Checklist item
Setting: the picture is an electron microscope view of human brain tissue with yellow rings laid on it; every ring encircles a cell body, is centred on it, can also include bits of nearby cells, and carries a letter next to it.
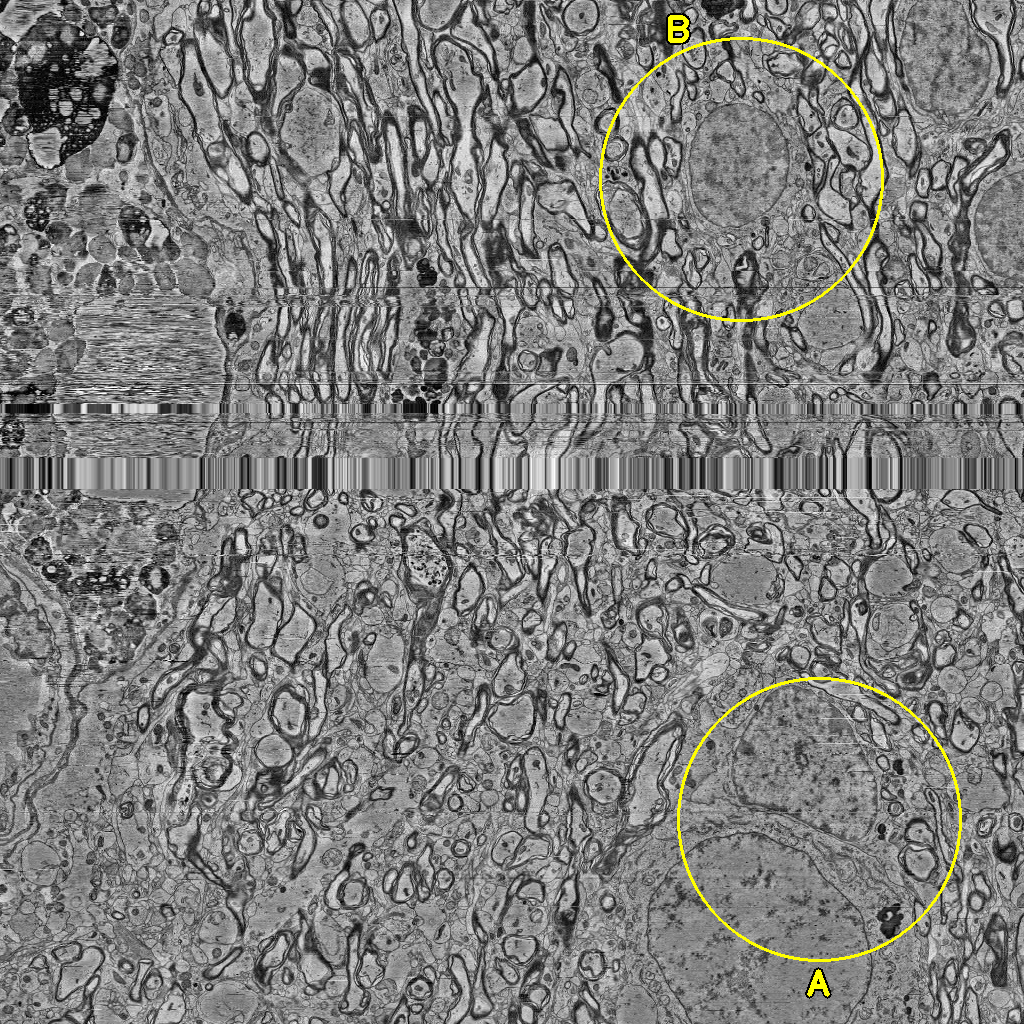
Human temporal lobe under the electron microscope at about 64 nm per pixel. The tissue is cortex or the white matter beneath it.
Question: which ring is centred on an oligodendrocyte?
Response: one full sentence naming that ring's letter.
My response is that ring B has the sought cell at its centre.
